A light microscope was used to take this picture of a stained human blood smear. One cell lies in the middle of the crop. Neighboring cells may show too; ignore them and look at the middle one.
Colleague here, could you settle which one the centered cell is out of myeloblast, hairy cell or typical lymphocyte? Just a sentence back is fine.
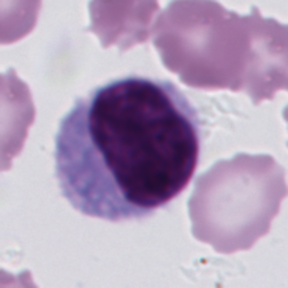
The middle of this crop holds a hairy cell.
